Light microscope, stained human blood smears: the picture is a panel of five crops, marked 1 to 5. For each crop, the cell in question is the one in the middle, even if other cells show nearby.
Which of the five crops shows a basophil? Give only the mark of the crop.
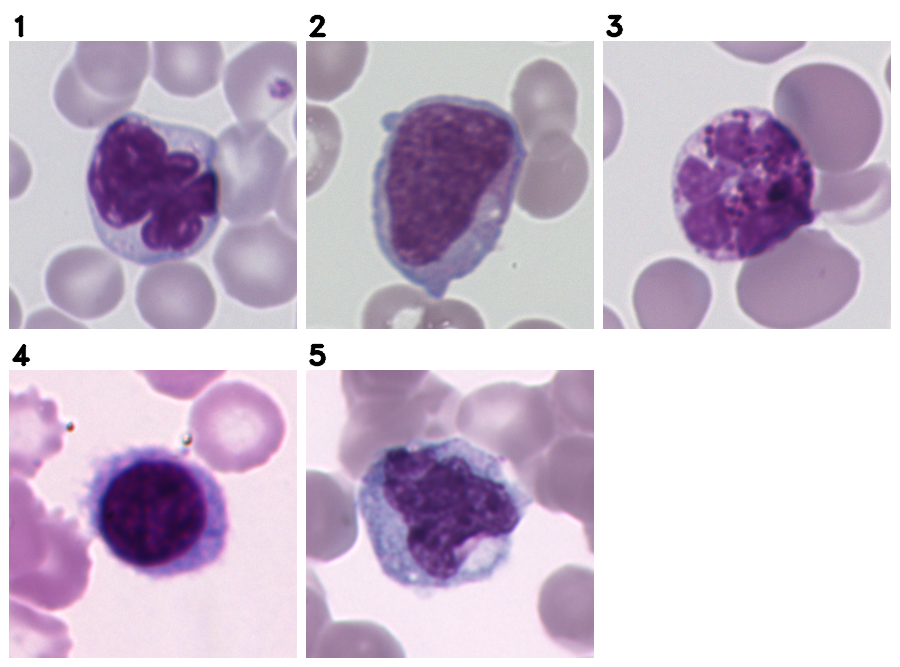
3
